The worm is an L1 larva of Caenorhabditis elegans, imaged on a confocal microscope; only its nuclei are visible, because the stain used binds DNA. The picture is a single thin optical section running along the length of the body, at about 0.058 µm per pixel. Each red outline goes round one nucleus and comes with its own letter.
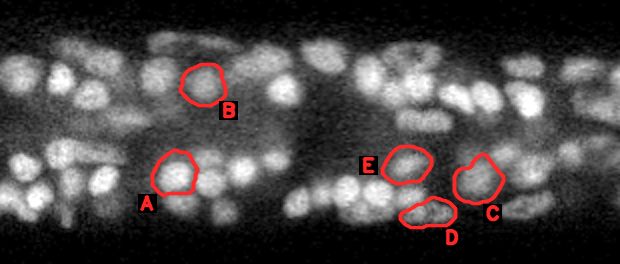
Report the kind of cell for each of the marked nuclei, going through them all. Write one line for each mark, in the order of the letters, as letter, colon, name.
A: neuron
B: neuron
C: pharyngeal muscle cell
D: hypodermal cell (hyp)
E: neuron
